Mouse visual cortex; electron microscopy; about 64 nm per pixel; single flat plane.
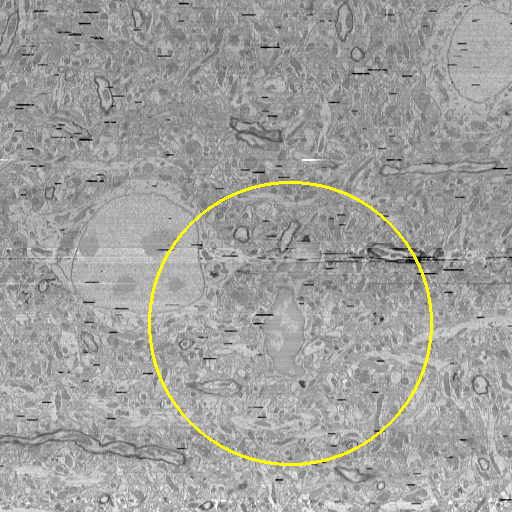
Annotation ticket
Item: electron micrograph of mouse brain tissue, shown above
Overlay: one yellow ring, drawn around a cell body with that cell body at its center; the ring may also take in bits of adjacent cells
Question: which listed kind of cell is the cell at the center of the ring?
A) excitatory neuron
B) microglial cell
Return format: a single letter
B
